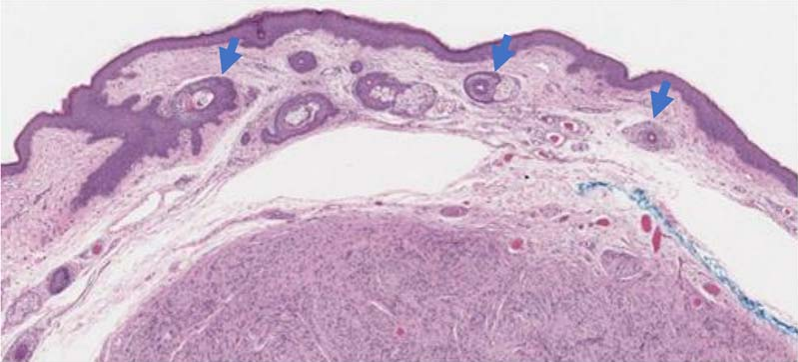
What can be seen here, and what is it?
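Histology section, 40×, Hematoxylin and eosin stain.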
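Skin is shown at low power, with a purple surface epidermis over a pale pink dermis that holds a row of round and oval cross-cut hair follicles. Each follicle profile is made of concentric rings of purple-staining epithelial cells around a small central core, and small blood vessels with red contents lie scattered among them. Below the dermis, separated by a pale empty cleft and loose connective tissue, lies a broad, densely cellular mass that stains evenly pink-purple. Along one edge of the loose tissue runs a thin blue-green line.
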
